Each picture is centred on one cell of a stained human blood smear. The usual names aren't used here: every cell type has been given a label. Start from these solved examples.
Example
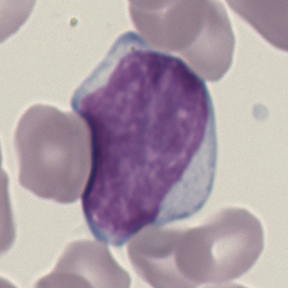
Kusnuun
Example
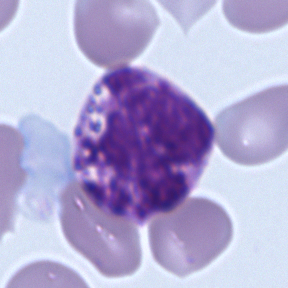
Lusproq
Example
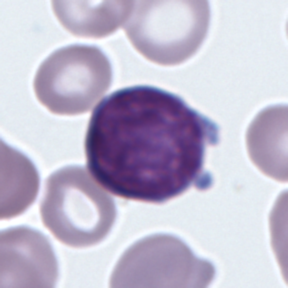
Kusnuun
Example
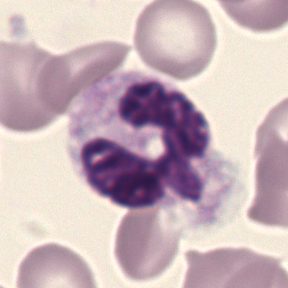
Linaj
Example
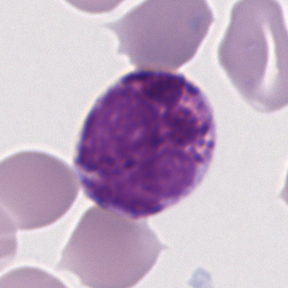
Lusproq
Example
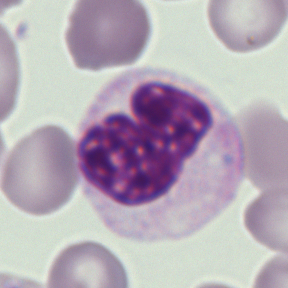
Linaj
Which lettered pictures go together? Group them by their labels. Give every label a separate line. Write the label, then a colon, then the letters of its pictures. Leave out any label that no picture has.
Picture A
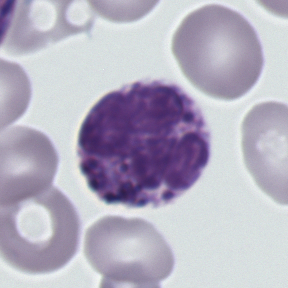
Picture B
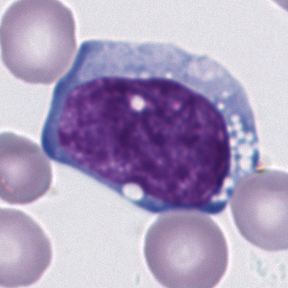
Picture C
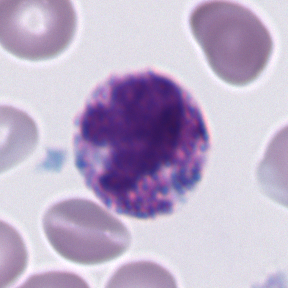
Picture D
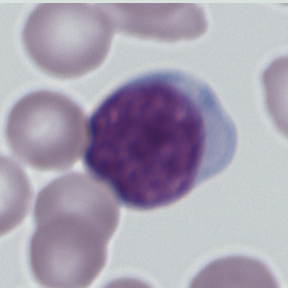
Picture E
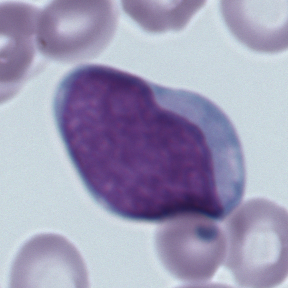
Kusnuun: B, D, E
Lusproq: A, C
